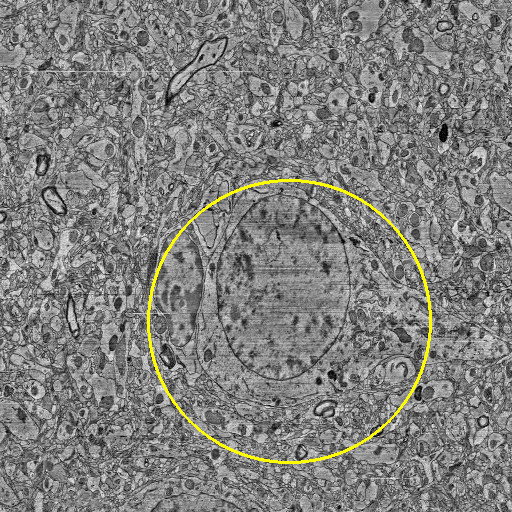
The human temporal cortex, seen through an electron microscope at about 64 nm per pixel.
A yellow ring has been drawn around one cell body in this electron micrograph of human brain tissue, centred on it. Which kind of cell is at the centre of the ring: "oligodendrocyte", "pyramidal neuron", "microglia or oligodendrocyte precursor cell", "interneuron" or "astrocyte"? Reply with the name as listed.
pyramidal neuron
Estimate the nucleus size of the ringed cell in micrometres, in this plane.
Approximately 12 x 9 micrometres in this plane.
